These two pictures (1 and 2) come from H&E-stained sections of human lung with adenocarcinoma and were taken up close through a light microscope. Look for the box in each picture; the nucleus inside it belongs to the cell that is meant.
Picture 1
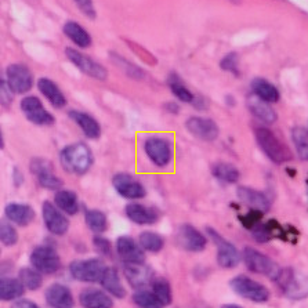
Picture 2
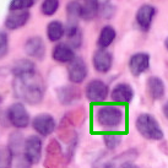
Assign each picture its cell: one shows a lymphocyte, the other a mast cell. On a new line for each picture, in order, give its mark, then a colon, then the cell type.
1: mast cell
2: lymphocyte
